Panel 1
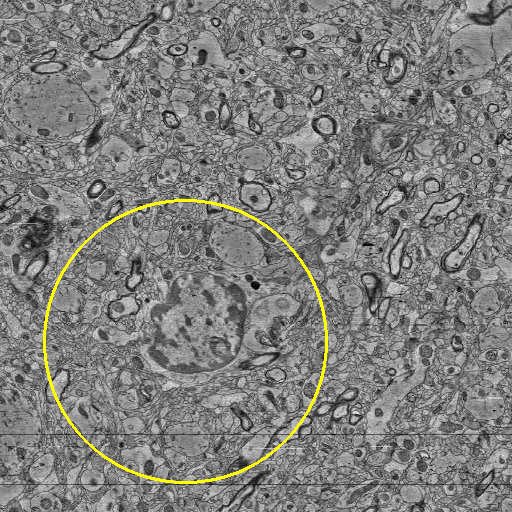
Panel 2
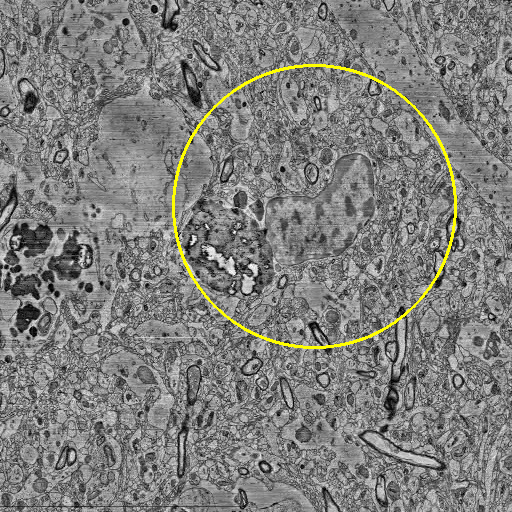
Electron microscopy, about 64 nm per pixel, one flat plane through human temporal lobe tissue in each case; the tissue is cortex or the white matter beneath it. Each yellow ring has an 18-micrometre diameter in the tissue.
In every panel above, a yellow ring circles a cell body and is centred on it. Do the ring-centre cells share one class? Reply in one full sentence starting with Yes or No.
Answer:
Yes, the two cells at the ring centres in the panels belong to one class.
